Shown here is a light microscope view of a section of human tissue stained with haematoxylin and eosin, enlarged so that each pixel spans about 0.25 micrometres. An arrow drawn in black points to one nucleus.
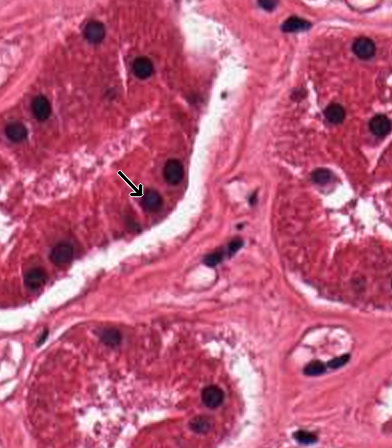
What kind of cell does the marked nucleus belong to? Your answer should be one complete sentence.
The cell containing the marked nucleus is a proximal tubule cell.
